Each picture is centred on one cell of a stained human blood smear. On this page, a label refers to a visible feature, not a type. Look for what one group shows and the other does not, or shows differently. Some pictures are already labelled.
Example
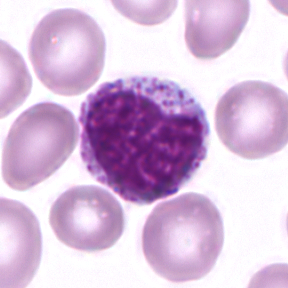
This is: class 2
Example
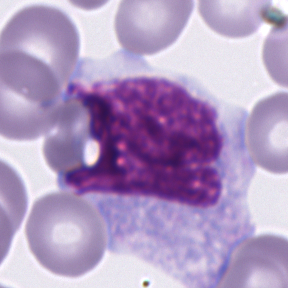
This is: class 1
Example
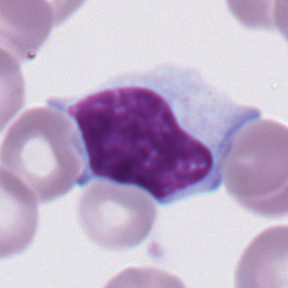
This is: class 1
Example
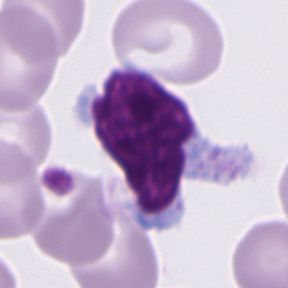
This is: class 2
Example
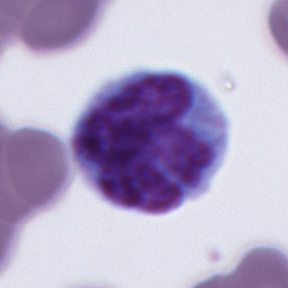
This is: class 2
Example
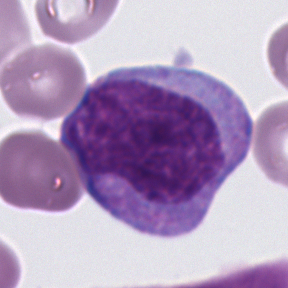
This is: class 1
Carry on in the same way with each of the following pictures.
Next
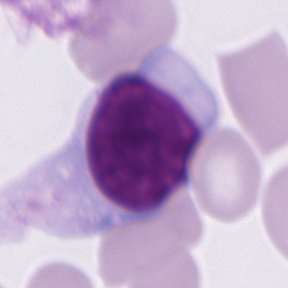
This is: class 1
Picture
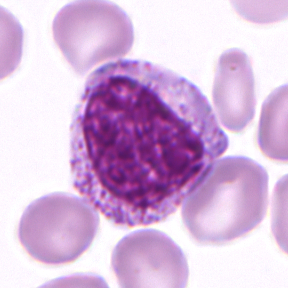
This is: class 2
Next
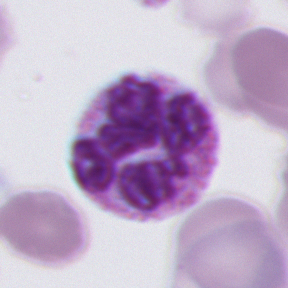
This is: class 2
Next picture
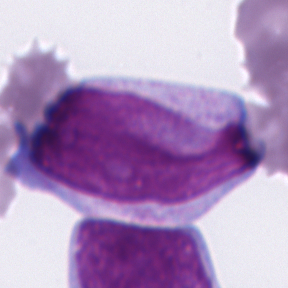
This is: class 2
